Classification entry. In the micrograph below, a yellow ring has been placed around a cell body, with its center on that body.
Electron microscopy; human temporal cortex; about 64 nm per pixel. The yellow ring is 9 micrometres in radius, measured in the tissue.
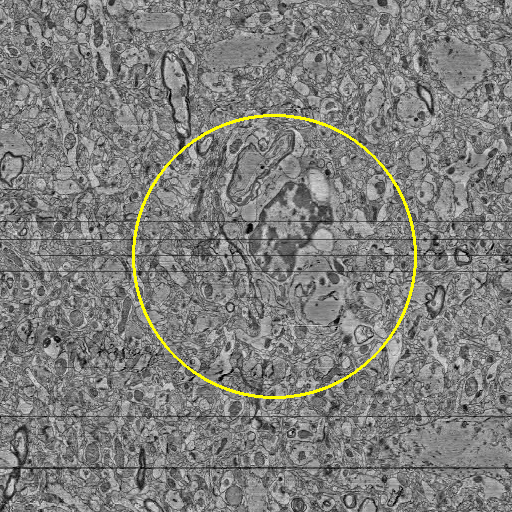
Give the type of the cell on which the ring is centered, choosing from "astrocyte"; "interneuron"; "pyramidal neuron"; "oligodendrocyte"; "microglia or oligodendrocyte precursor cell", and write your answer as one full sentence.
The cell body at the center of the yellow ring belongs to a microglial cell or oligodendrocyte precursor cell.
